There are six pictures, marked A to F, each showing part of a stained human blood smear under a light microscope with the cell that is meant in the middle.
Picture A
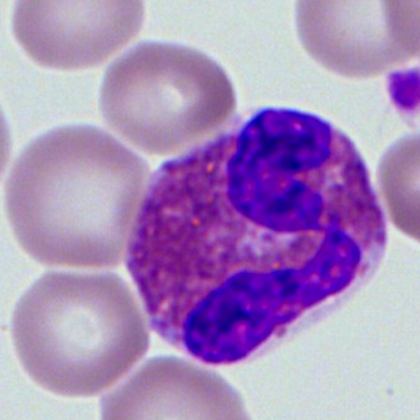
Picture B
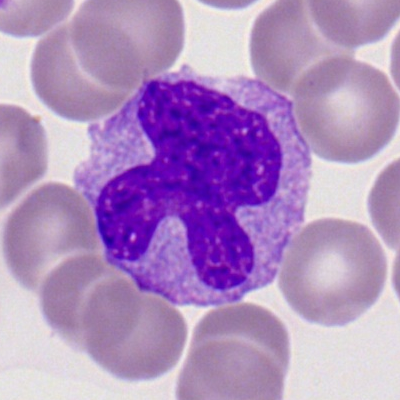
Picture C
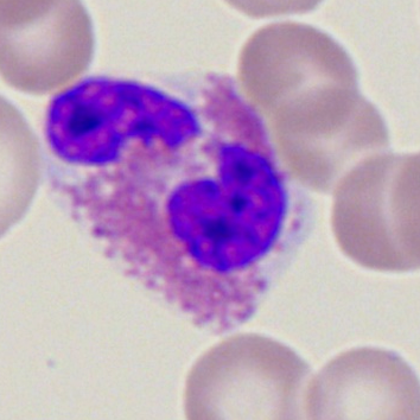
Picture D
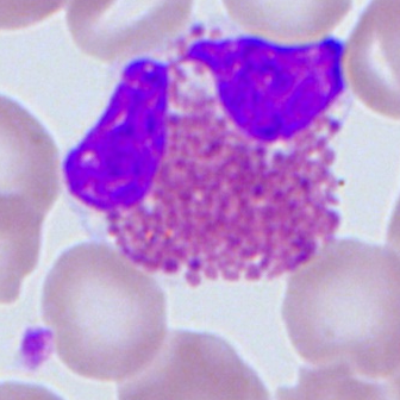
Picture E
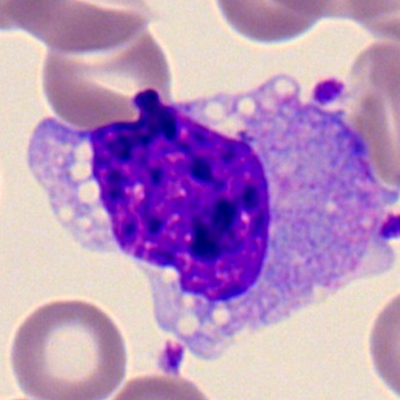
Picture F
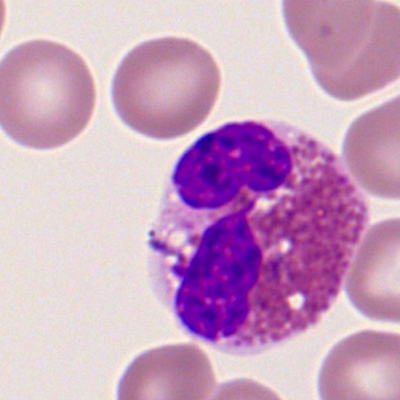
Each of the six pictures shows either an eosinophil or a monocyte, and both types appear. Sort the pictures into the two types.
A: eosinophil
B: monocyte
C: eosinophil
D: eosinophil
E: monocyte
F: eosinophil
